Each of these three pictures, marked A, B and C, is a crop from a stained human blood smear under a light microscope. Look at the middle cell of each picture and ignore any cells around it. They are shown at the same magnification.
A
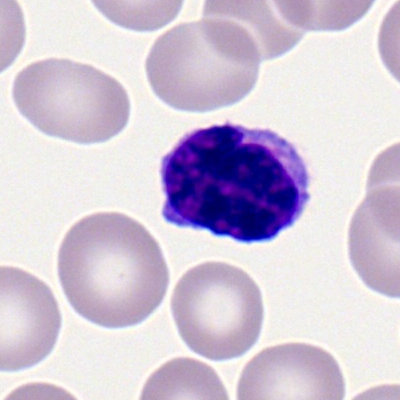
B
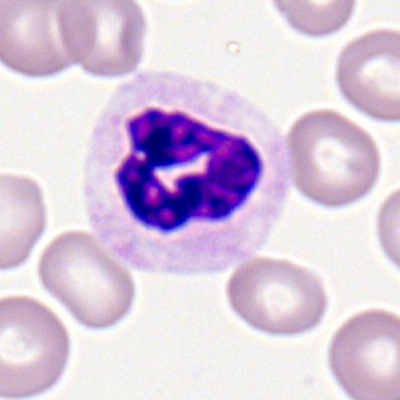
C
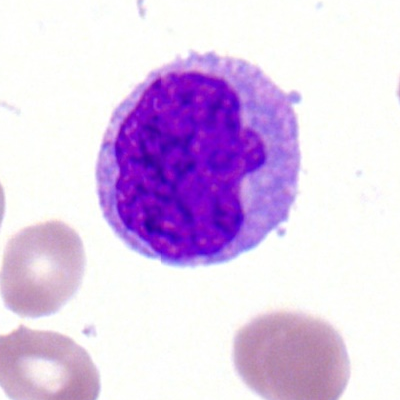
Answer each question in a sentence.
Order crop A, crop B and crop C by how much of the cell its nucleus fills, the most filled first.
From the most filled to the least, the order is A, C, B.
